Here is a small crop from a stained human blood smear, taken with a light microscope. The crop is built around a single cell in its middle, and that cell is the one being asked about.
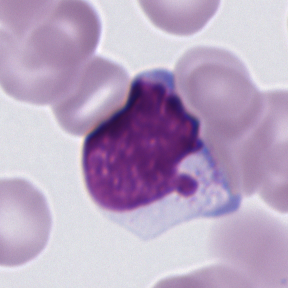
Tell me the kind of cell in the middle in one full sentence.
In short, the cell at the center is a large granular lymphocyte.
